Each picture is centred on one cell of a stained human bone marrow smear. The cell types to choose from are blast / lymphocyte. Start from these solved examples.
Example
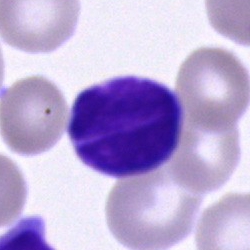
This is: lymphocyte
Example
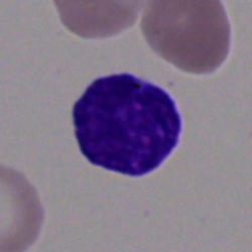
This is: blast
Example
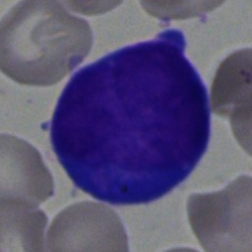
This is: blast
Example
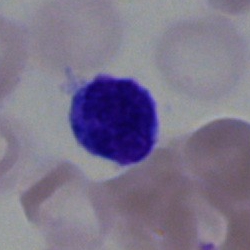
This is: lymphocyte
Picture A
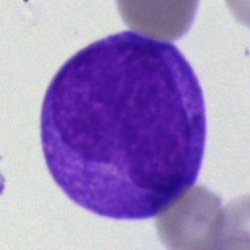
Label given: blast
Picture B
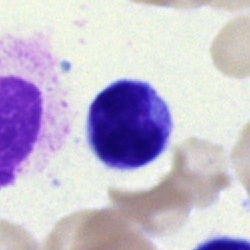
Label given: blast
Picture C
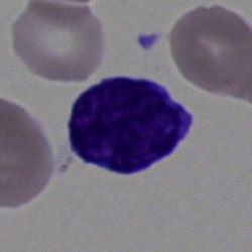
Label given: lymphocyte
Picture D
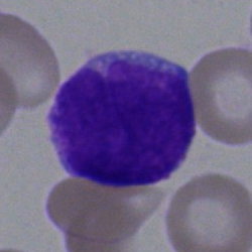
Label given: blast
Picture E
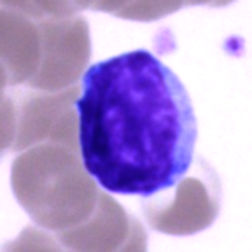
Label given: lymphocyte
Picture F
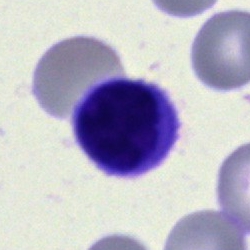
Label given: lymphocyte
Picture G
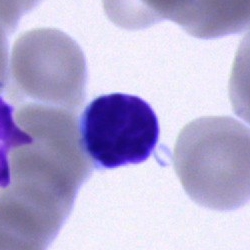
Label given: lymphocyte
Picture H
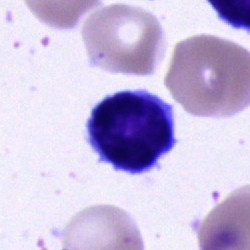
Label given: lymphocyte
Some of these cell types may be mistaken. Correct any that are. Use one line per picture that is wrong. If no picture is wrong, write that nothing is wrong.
Wrong: B (blast); correct: lymphocyte
Wrong: C (lymphocyte); correct: blast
